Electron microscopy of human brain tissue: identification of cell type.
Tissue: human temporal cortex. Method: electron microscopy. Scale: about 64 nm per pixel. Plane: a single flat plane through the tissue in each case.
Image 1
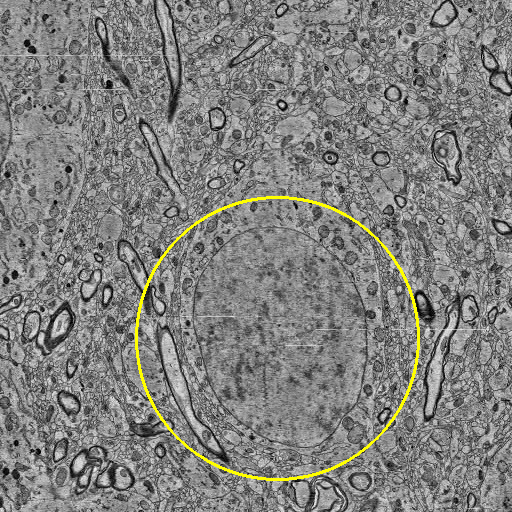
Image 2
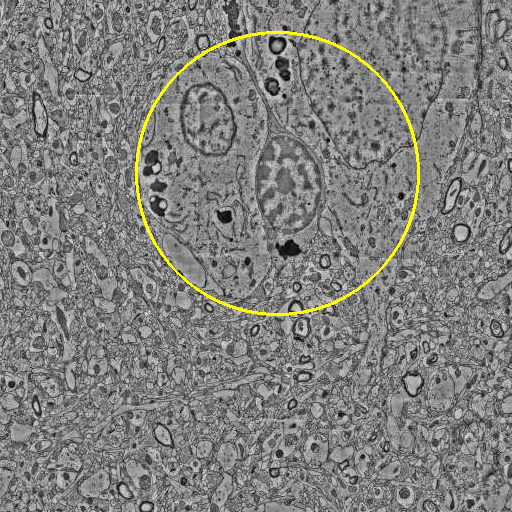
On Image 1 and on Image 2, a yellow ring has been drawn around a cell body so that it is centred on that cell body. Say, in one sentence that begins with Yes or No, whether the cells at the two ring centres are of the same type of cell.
No, the two cells are two separate types of cell.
